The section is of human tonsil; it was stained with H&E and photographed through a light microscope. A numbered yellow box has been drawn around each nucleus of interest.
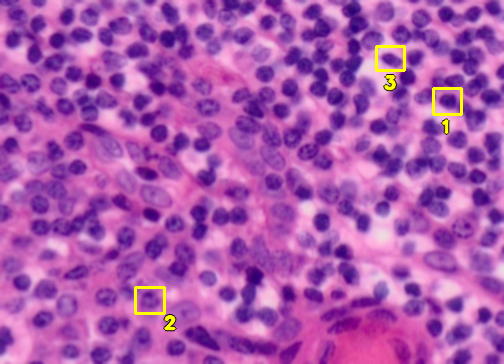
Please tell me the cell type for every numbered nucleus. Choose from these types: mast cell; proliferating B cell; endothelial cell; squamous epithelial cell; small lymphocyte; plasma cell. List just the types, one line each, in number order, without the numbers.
small lymphocyte
plasma cell
small lymphocyte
